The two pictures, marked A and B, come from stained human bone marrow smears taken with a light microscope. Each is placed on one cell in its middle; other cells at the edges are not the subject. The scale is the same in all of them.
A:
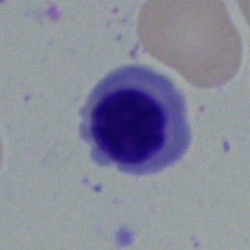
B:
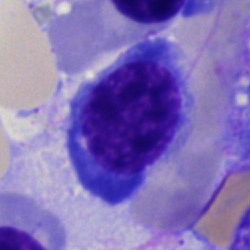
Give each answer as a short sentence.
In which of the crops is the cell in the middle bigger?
Larger is the cell in picture B, at roughly 1.5 times the area of the other.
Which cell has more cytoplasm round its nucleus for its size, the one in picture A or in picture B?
The nucleus fills less of the cell in picture A than in picture B.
